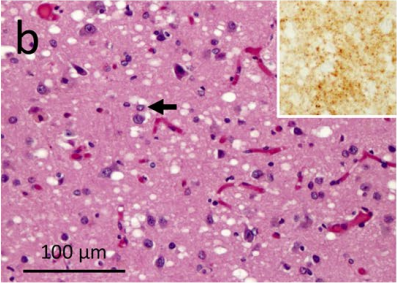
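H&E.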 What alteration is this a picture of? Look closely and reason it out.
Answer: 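Numerous small round clear vacuoles lie throughout the pink neuropil. Many purple nuclei are scattered between the vacuoles.
Spongiform degeneration.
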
